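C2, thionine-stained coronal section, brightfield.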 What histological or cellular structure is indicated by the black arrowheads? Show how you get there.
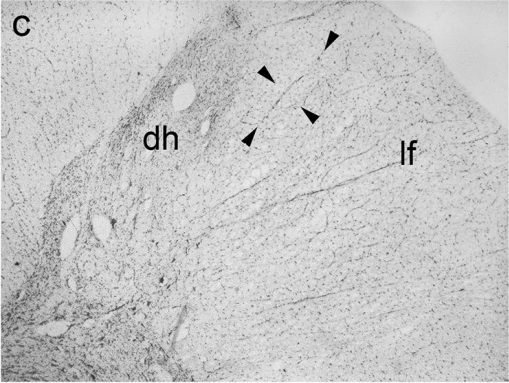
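The arrowheads border an area in the white matter beside the tip of the dorsal horn. Scattered stained cell bodies lie among pale cross-cut fibres in the bordered area.
Answer: lateral cervical nucleus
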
